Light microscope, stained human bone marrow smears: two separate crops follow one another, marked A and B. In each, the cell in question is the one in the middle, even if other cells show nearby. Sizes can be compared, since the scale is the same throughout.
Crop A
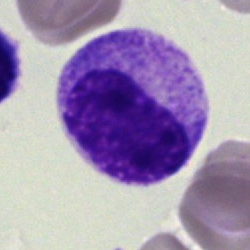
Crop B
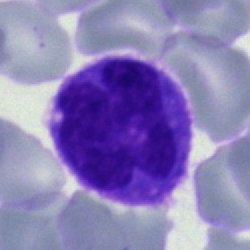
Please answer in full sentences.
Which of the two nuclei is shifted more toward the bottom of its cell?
The nucleus in crop A lies further toward the bottom of its cell.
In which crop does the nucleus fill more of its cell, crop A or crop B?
The nucleus fills more of the cell in crop B than in crop A.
